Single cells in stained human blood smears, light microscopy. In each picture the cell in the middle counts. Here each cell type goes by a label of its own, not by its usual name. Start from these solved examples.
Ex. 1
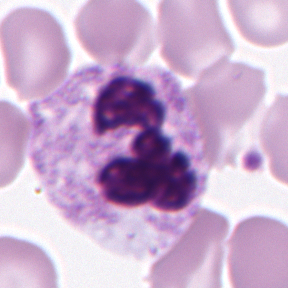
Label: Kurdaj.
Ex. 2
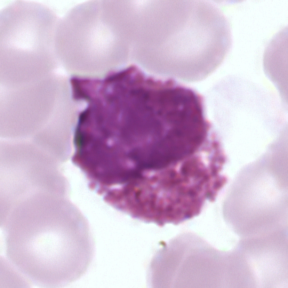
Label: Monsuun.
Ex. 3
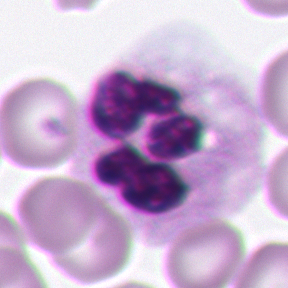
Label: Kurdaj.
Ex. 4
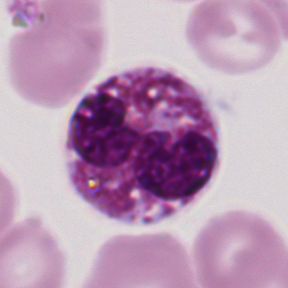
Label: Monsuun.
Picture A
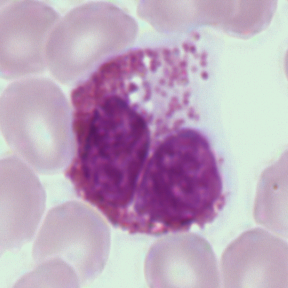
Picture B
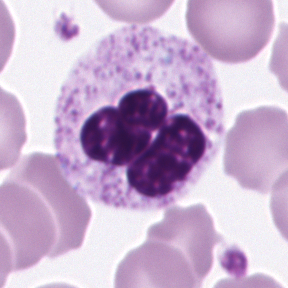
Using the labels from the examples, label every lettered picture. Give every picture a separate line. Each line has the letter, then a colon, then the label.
A: Monsuun.
B: Kurdaj.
